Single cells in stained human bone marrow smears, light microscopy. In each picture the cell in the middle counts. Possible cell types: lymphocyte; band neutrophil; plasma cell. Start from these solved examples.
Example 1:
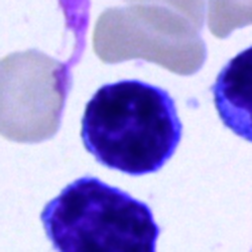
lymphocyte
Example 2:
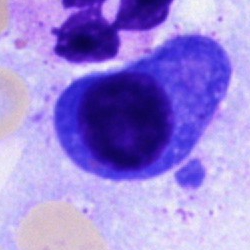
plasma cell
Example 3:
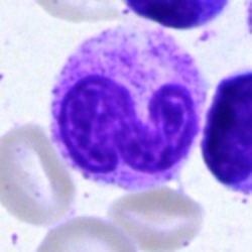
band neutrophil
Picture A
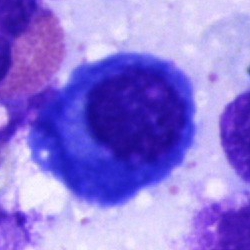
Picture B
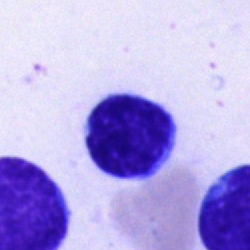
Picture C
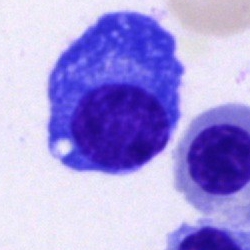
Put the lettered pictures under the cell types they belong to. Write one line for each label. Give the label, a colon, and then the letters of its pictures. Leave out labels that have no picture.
lymphocyte: B
plasma cell: A, C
